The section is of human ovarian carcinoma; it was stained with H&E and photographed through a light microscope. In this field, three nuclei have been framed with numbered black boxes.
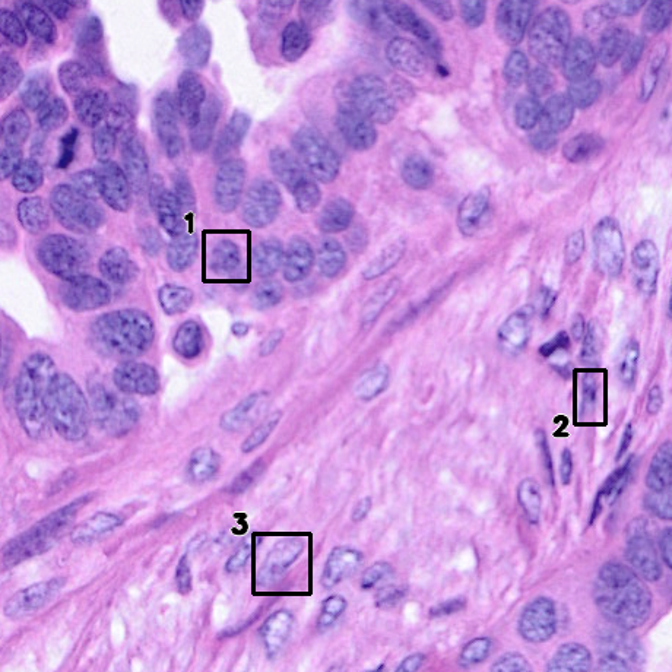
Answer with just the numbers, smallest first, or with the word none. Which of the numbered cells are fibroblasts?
2, 3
